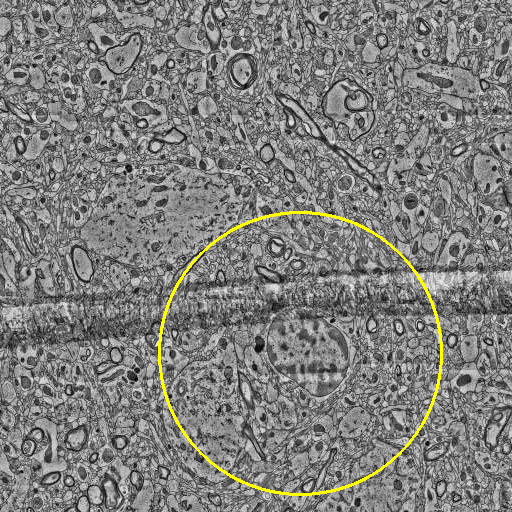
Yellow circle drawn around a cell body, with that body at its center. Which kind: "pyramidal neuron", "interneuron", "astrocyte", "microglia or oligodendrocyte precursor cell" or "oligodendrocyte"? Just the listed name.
microglia or oligodendrocyte precursor cell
